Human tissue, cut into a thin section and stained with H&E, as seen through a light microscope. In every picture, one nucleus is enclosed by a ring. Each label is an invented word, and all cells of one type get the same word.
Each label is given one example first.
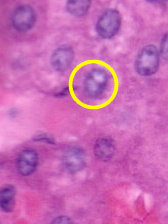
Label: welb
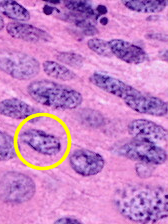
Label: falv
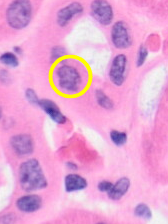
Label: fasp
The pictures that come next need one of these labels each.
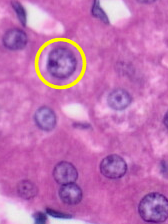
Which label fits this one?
welb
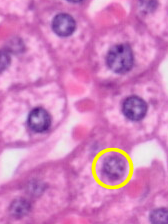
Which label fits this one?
welb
